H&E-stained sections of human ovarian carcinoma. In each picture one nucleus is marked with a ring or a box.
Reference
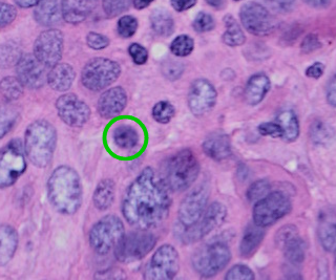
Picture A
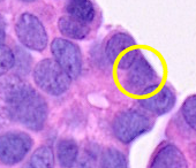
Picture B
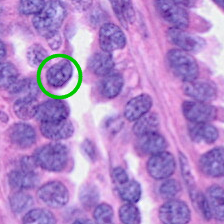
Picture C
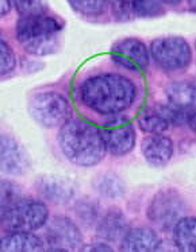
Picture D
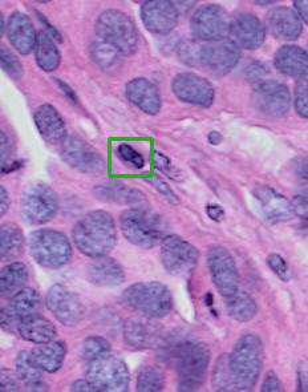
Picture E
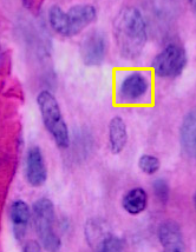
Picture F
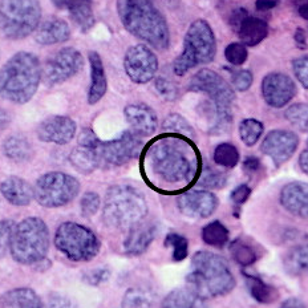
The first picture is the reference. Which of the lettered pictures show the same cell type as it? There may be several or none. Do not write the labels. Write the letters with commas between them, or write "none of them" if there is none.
D, E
